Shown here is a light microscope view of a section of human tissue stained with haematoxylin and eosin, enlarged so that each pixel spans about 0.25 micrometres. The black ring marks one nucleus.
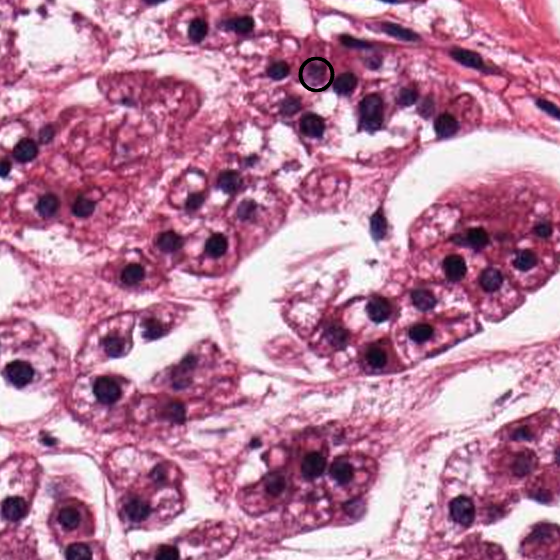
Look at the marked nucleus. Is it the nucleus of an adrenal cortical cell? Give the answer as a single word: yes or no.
yes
